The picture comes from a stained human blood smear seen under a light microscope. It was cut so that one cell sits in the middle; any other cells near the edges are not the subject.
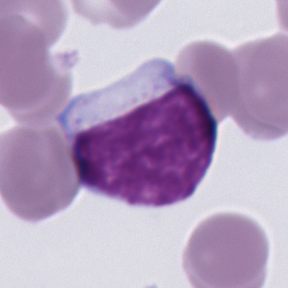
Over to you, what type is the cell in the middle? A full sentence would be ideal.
Of the cells in this crop, the central one is a large granular lymphocyte.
